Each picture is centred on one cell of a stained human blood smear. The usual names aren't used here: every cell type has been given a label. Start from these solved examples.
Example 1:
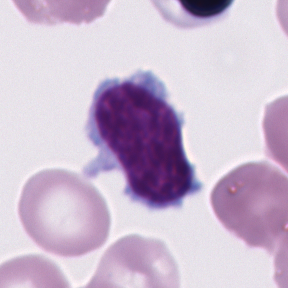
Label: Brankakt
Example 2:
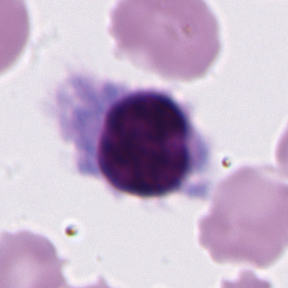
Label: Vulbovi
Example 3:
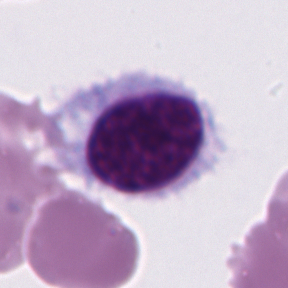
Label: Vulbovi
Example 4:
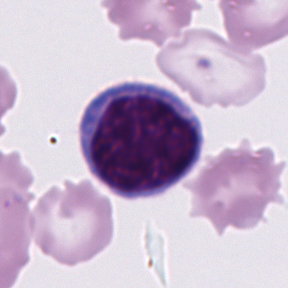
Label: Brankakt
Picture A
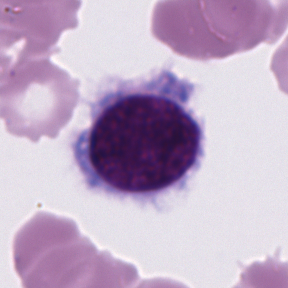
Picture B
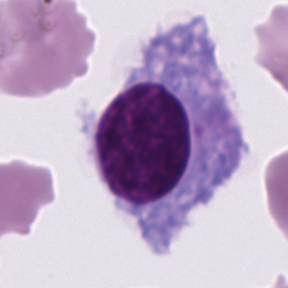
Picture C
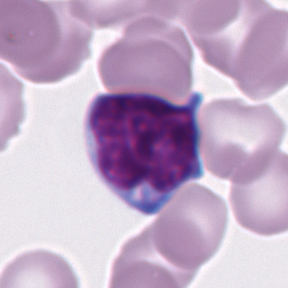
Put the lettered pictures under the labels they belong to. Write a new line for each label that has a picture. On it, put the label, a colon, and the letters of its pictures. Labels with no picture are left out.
Brankakt: C
Vulbovi: A, B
